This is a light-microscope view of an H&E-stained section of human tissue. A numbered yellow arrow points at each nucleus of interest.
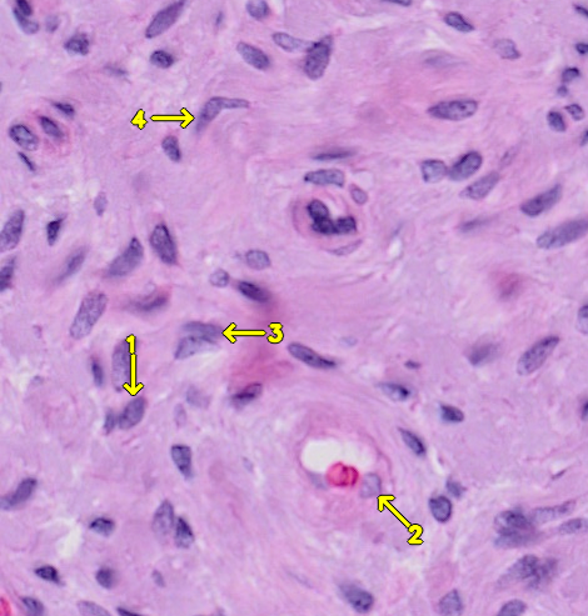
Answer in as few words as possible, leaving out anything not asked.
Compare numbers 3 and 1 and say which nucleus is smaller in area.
1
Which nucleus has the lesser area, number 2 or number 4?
2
